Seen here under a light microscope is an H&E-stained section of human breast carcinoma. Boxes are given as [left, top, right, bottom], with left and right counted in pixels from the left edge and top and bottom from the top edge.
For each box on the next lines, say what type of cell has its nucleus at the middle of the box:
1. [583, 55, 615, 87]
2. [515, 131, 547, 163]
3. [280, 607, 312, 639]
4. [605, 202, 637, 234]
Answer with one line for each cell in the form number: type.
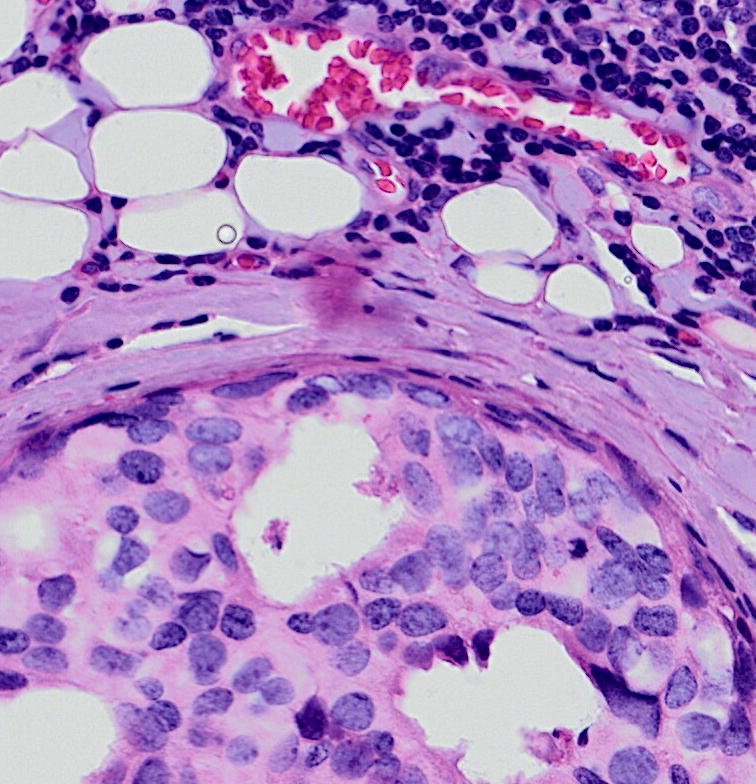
1: lymphocyte
2: lymphocyte
3: carcinoma cell
4: lymphocyte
